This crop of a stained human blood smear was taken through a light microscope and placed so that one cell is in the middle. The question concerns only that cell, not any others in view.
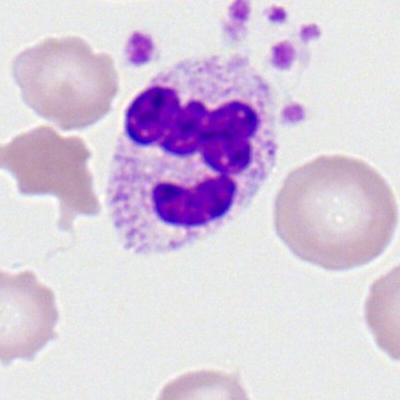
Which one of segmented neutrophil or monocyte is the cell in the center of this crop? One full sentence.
Here the centrally located cell is a segmented neutrophil.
